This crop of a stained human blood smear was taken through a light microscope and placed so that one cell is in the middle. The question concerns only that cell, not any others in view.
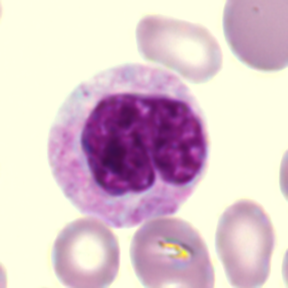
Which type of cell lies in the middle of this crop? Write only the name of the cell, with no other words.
band neutrophil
